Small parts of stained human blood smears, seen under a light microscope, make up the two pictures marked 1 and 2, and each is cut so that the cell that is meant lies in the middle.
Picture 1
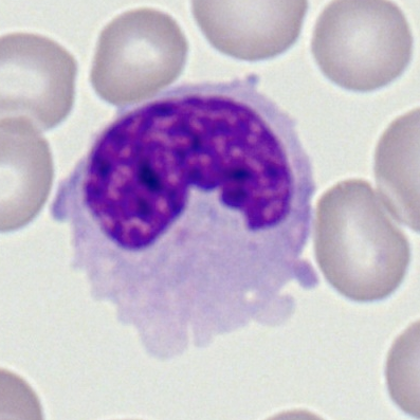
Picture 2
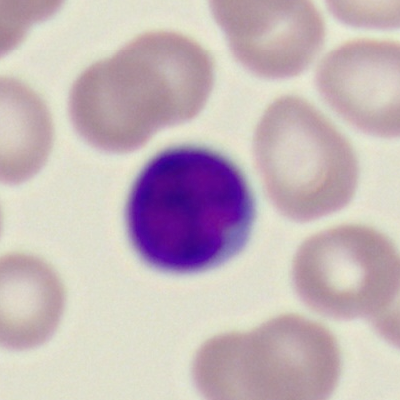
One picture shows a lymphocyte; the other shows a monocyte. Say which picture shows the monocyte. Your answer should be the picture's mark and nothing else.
1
